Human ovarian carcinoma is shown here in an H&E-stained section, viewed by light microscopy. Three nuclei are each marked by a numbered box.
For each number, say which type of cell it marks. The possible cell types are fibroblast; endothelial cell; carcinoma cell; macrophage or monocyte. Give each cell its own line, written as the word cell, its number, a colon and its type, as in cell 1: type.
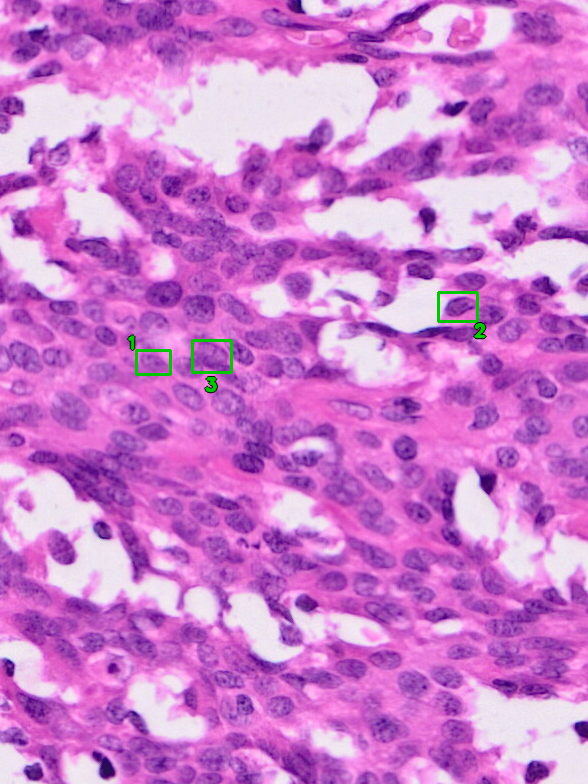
cell 1: carcinoma cell
cell 2: macrophage or monocyte
cell 3: carcinoma cell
